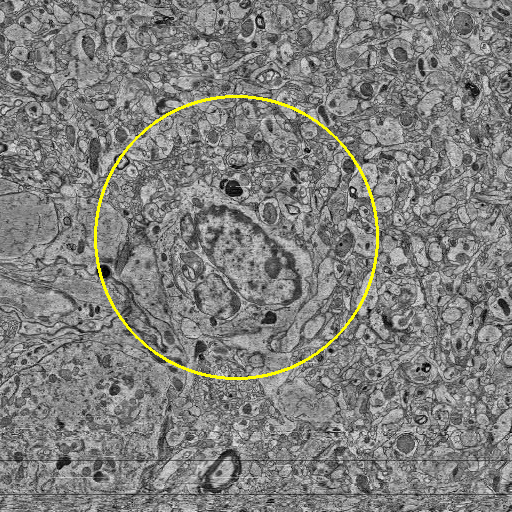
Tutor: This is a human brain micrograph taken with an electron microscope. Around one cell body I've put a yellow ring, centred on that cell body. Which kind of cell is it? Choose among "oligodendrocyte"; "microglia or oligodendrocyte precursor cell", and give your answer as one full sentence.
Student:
Going by your list, the cell centred in the yellow ring is a microglial cell or oligodendrocyte precursor cell.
